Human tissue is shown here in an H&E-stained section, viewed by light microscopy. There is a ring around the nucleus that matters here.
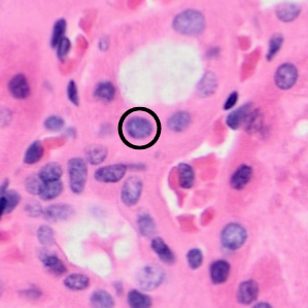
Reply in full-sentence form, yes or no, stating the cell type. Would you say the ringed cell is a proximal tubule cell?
No, kindly revise that, as the ringed cell is a loop of Henle or distal tubule cell rather than a proximal tubule cell.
